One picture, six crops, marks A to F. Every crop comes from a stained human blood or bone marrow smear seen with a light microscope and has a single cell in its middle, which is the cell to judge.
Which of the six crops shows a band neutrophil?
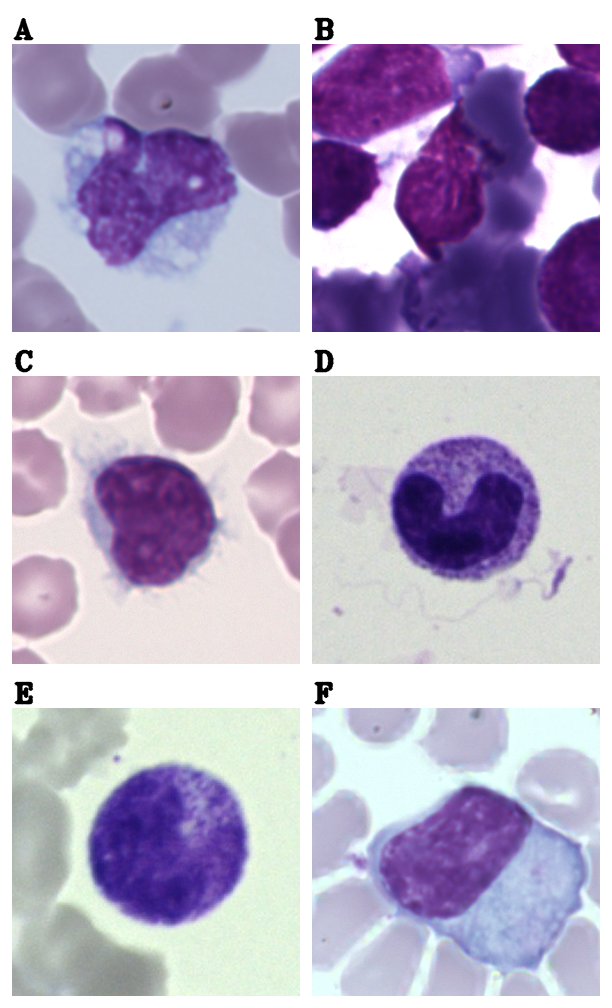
D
